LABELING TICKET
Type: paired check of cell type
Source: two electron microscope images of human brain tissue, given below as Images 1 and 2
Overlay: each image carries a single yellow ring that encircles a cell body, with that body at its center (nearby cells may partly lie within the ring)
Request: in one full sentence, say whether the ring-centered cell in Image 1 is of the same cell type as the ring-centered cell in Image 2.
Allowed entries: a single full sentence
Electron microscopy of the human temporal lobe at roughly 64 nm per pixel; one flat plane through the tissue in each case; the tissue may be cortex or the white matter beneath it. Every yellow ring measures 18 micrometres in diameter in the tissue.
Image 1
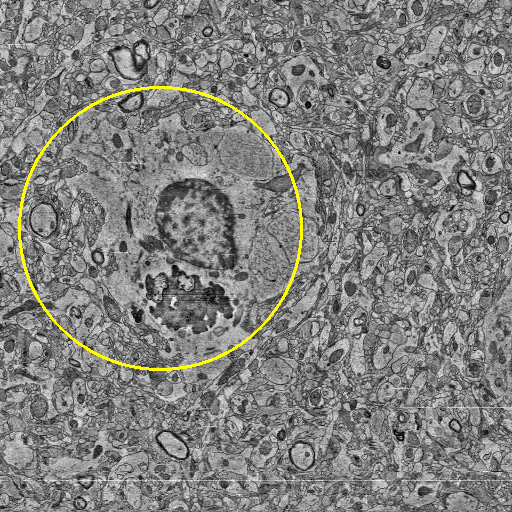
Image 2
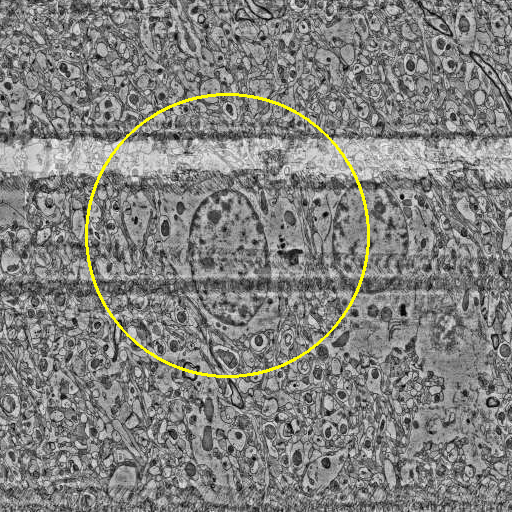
Yes, the cells centered in the rings of Image 1 and Image 2 share one type.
